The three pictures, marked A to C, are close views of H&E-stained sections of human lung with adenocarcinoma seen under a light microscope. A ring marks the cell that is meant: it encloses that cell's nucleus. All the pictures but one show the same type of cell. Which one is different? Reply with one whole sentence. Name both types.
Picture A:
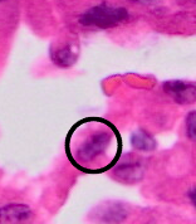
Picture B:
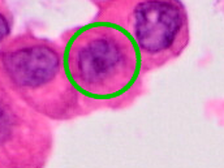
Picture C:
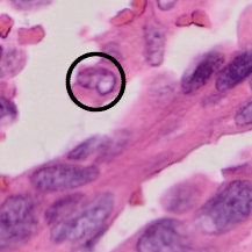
The different one is picture B; it shows a carcinoma cell, whereas all the others show “macrophages or monocytes”.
